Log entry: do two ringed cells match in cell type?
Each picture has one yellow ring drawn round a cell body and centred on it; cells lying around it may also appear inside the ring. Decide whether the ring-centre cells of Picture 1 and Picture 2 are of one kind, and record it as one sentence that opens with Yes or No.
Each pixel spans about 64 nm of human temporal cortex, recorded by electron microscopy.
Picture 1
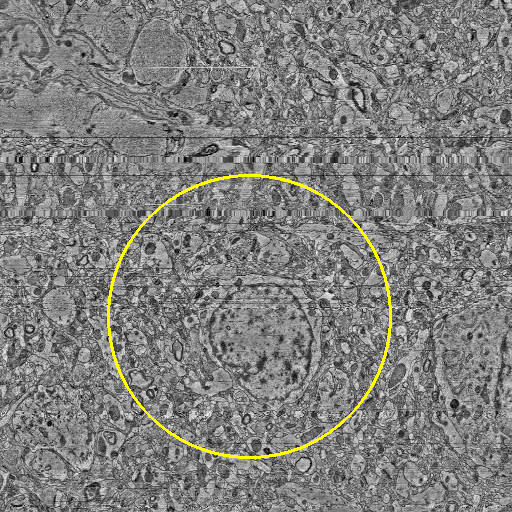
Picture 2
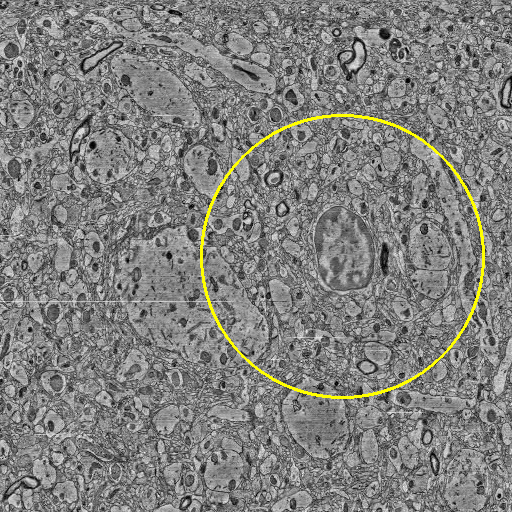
No, the cells at the ring centres of the two pictures belong to two kinds.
